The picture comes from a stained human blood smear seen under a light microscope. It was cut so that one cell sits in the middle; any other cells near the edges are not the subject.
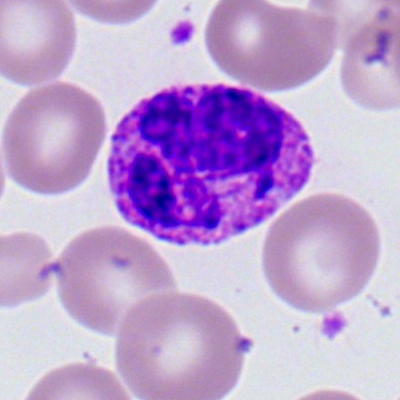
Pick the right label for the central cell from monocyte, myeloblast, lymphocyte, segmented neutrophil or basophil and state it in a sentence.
In this crop, the cell at the very middle is a basophil.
